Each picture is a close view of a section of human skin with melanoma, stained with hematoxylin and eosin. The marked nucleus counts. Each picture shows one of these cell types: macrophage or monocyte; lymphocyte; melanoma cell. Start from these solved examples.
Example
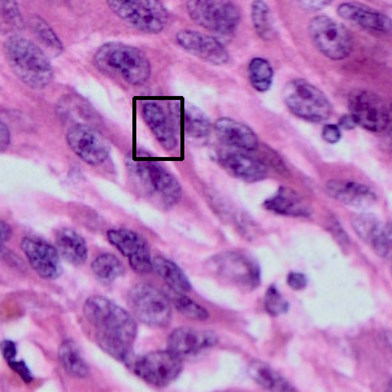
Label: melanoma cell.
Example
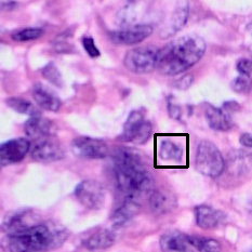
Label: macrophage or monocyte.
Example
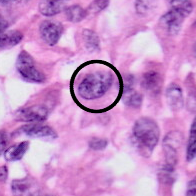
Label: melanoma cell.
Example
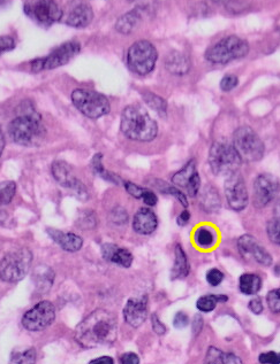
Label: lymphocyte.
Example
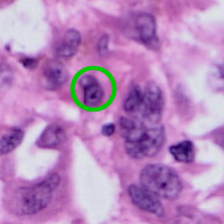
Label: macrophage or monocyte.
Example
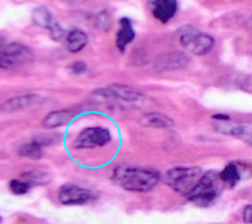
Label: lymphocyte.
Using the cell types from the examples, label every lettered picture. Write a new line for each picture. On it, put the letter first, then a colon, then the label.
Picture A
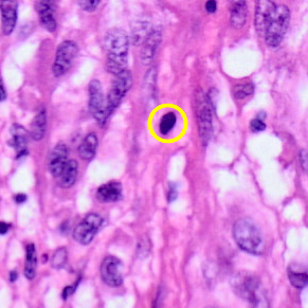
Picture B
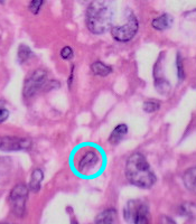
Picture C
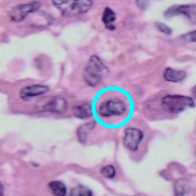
A: lymphocyte.
B: macrophage or monocyte.
C: macrophage or monocyte.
